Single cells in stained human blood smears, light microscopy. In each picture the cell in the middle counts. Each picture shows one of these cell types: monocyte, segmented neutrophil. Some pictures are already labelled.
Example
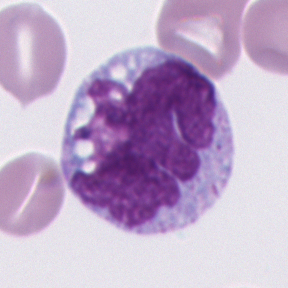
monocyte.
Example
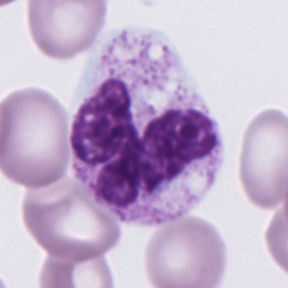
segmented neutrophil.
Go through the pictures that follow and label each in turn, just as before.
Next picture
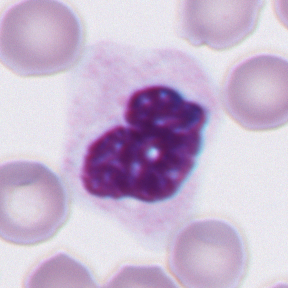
segmented neutrophil.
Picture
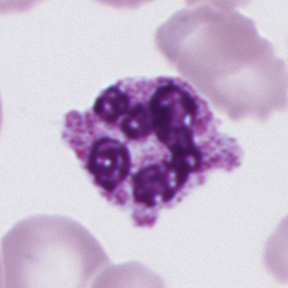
segmented neutrophil.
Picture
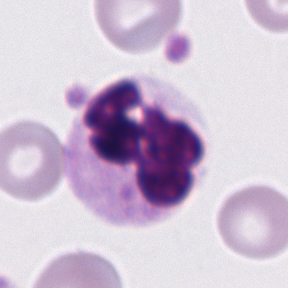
segmented neutrophil.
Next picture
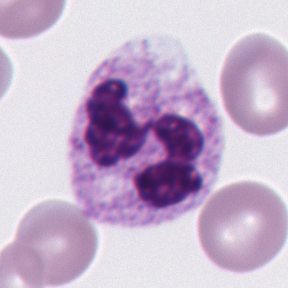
segmented neutrophil.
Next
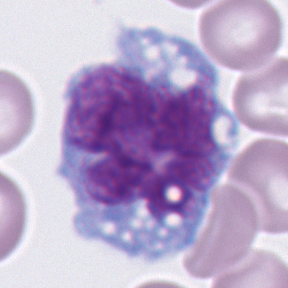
monocyte.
